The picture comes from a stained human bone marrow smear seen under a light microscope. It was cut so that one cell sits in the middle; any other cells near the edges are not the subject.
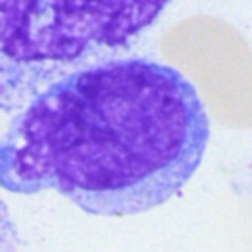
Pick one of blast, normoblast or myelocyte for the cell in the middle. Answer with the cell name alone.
blast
